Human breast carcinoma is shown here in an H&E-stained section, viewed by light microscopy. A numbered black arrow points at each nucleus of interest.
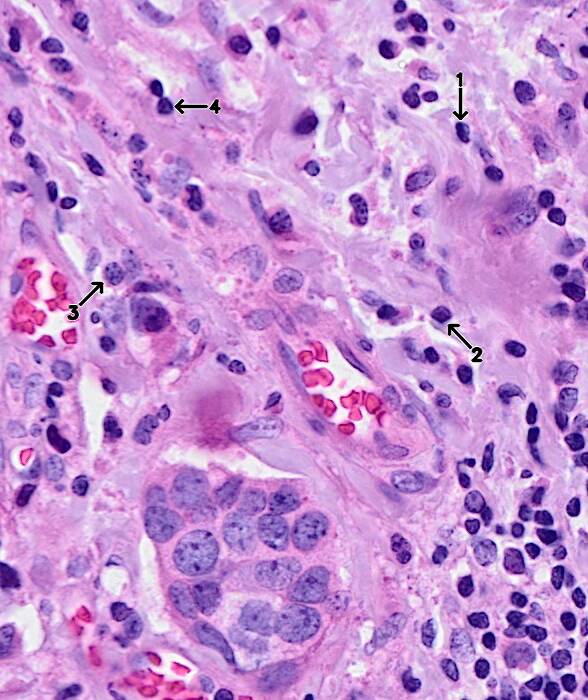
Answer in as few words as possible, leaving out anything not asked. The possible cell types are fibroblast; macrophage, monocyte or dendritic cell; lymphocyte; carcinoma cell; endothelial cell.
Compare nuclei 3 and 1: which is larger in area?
3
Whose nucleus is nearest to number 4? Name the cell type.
lymphocyte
